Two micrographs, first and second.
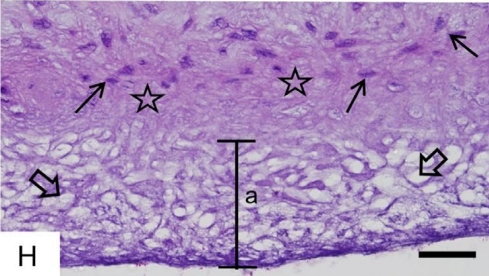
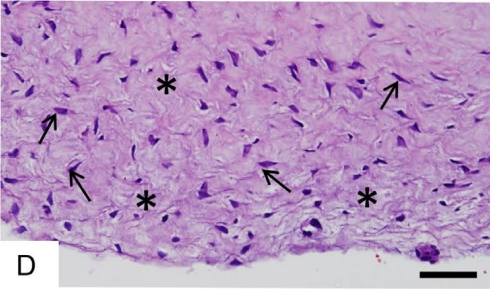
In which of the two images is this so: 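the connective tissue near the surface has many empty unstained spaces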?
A: The first image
